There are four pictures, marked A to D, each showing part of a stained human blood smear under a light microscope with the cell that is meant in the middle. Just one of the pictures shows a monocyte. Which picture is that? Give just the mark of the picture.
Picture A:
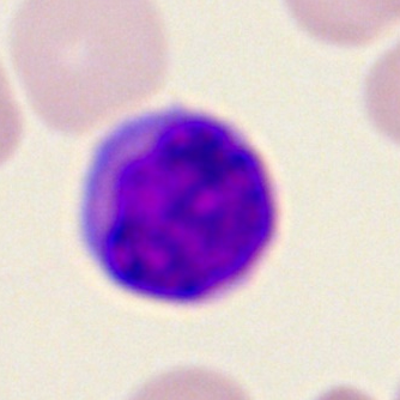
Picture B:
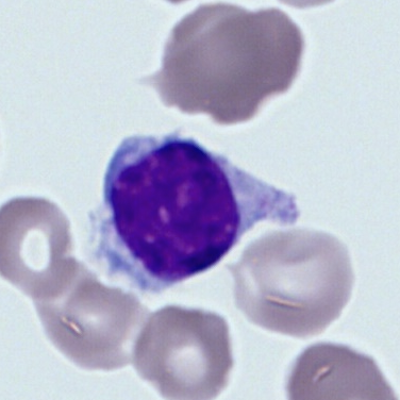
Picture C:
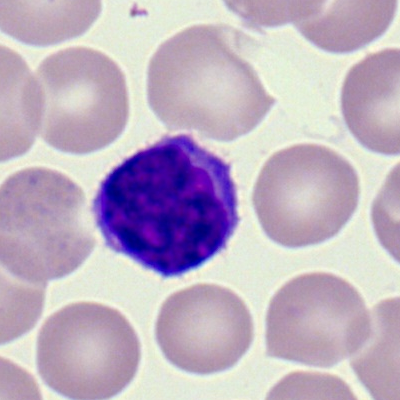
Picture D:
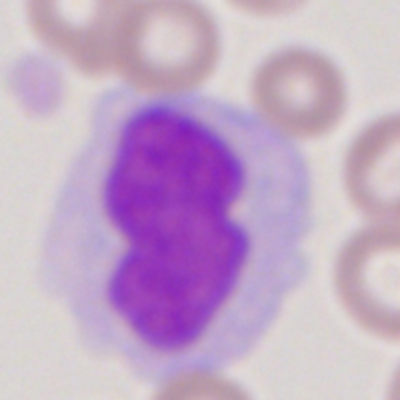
D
